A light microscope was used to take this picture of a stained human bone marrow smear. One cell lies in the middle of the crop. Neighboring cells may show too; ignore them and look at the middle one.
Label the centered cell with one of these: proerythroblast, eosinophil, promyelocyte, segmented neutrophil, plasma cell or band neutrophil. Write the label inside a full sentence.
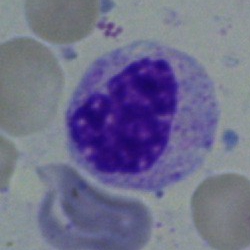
Within this crop, a band neutrophil occupies the central position.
